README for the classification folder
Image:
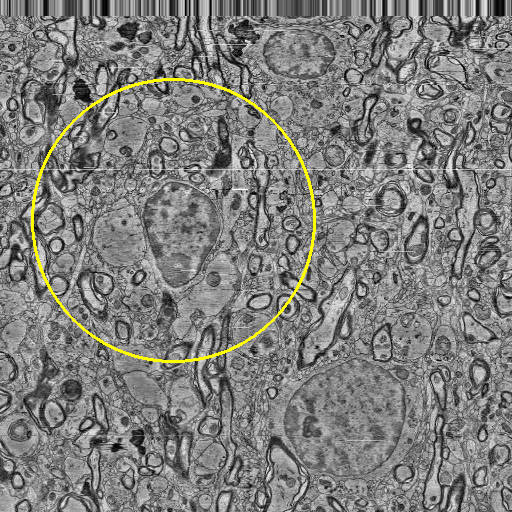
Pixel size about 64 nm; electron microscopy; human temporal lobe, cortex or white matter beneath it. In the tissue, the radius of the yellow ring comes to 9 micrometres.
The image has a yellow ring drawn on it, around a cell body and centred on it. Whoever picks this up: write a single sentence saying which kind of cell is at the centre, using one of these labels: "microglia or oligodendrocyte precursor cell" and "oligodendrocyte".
This cell body is that of a microglial cell or oligodendrocyte precursor cell.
